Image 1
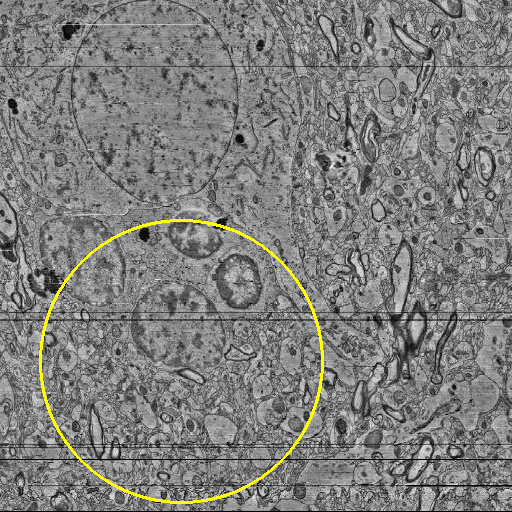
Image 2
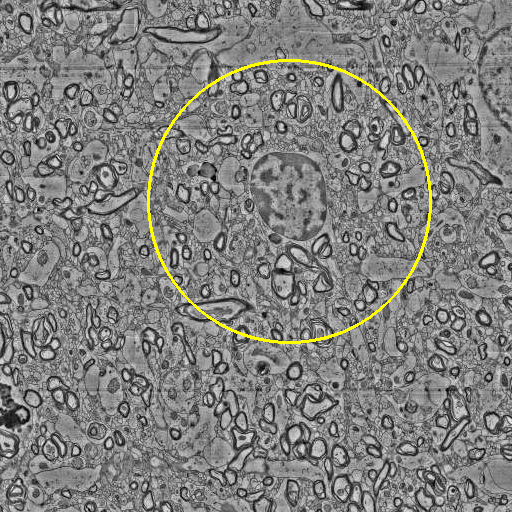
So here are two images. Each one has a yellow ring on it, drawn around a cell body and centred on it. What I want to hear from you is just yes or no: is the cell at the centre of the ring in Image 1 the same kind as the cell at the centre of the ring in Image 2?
no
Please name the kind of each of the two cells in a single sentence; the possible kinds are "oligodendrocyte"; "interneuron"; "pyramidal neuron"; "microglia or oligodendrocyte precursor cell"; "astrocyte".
In the first picture the ring is centred on an oligodendrocyte, and in the second on a microglial cell or oligodendrocyte precursor cell.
